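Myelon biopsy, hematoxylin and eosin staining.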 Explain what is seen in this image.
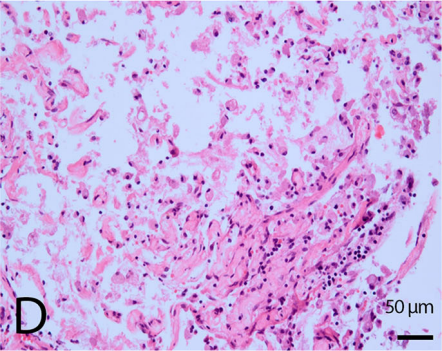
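The tissue is loose and broken up, with many pale empty spaces between irregular pink fragments. Its normal layered or fibrillary architecture is not recognisable. Numerous small dark purple nuclei are dispersed through the debris, more densely toward the lower part of the field. Rounded cells with pink cytoplasm lie among the fragments.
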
